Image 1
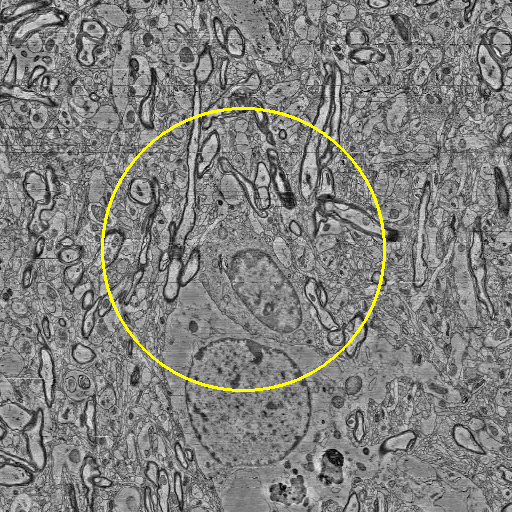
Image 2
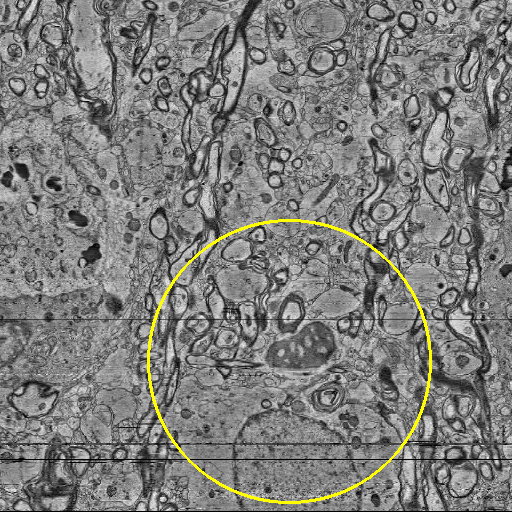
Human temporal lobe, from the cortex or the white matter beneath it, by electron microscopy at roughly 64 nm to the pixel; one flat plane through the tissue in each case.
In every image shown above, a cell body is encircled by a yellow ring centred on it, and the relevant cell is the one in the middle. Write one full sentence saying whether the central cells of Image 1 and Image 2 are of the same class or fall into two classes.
The cell at the ring's centre in Image 1 and its counterpart in Image 2 fall into two classes.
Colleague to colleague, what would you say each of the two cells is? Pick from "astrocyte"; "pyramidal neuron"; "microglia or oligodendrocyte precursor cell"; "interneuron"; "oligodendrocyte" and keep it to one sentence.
The cell in the first picture is an oligodendrocyte; the second picture's cell is a microglial cell or oligodendrocyte precursor cell.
